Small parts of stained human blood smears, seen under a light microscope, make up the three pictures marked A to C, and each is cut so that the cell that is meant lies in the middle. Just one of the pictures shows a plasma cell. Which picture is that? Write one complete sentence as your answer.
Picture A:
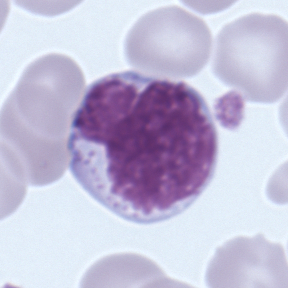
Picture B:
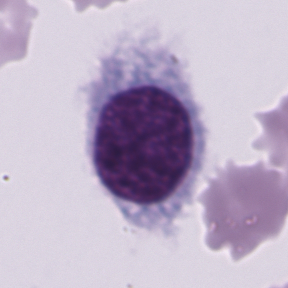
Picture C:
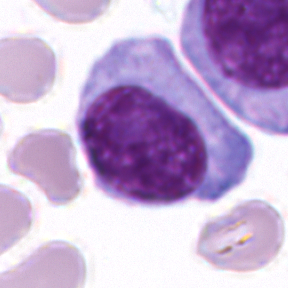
The cell in picture C is the plasma cell.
